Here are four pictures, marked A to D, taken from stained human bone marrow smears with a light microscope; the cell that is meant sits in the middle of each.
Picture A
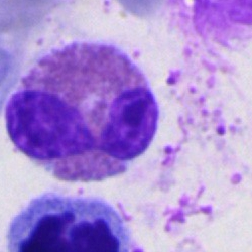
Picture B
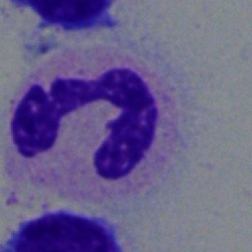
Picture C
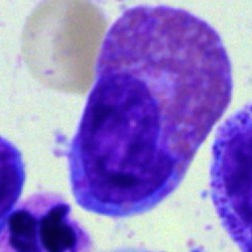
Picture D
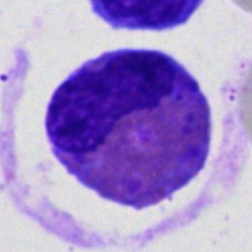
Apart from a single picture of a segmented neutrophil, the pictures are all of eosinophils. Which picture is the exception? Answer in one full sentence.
Picture B is the one that shows the segmented neutrophil.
